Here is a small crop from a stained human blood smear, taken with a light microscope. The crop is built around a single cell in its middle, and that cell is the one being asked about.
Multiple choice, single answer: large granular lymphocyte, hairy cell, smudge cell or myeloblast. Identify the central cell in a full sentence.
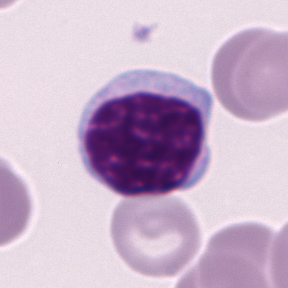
Here the centrally located cell is a large granular lymphocyte.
